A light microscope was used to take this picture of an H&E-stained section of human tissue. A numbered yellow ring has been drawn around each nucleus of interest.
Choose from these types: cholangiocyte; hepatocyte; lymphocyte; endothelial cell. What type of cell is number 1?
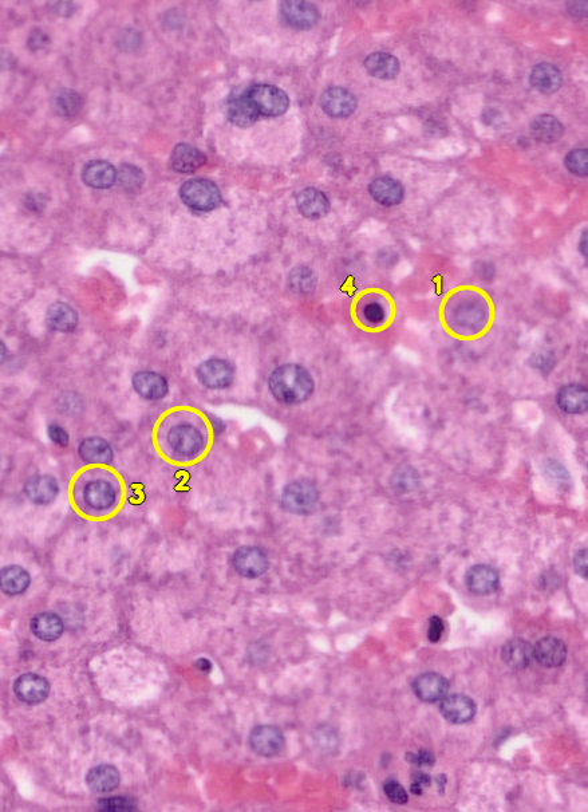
hepatocyte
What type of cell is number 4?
lymphocyte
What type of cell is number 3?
hepatocyte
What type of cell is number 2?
hepatocyte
